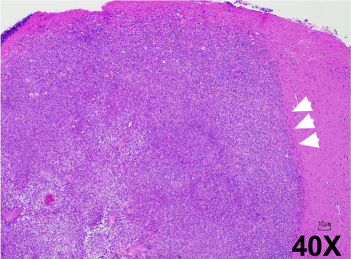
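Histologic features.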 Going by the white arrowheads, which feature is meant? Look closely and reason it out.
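The purple tumor mass meets the pink tissue at a sharp, smooth edge.
Conclusion: clear demarcating border between tumor and parenchyma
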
